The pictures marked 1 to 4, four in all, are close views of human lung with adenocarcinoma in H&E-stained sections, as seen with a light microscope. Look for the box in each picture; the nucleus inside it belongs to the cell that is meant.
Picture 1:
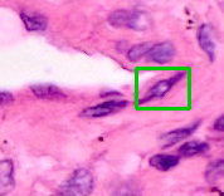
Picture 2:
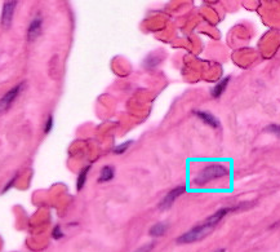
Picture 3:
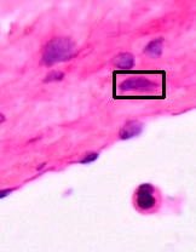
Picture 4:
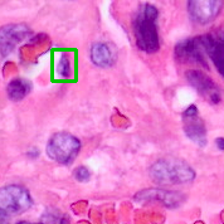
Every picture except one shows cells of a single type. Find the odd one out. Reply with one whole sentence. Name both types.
Picture 4 is the odd one out: it shows an endothelial cell, while the others show “smooth muscle cells or pericytes”.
